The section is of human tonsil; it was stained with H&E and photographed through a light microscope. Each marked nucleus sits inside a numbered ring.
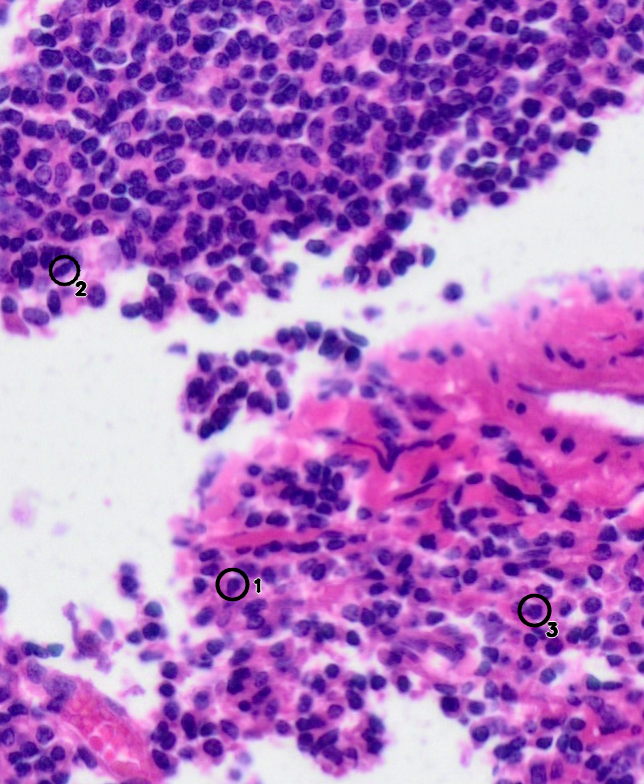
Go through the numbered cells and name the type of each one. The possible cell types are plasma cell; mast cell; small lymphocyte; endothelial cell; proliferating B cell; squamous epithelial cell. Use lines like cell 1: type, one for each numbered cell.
cell 1: plasma cell
cell 2: small lymphocyte
cell 3: plasma cell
